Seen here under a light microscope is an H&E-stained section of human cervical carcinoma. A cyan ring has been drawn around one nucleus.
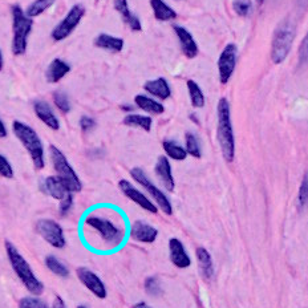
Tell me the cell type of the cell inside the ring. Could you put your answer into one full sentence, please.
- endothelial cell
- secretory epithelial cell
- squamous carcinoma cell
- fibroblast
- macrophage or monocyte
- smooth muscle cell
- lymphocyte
It is as a fibroblast that the cell inside the ring is classified.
